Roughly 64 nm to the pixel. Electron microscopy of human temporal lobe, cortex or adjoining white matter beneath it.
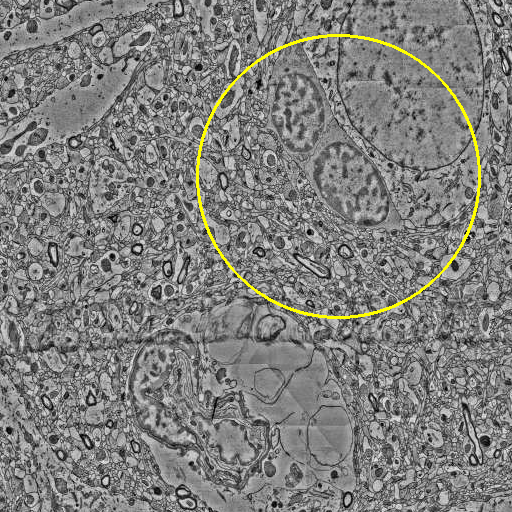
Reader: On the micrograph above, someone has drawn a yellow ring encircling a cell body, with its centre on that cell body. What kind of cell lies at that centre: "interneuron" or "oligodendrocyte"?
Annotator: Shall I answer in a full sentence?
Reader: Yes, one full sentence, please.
Here an oligodendrocyte sits at the centre of the yellow ring drawn on the micrograph.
